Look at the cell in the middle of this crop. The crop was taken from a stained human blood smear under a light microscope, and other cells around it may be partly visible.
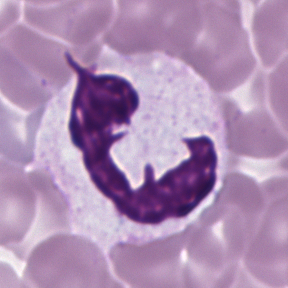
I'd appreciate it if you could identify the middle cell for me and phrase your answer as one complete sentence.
The cell of interest, in the center, is a neutrophil.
